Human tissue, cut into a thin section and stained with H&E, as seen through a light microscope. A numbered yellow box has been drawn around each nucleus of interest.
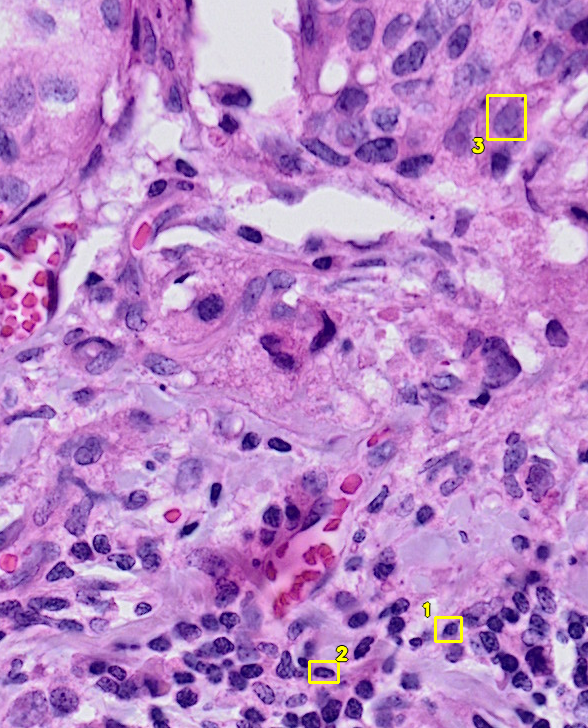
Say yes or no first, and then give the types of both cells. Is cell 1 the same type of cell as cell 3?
No, cell 1 is a lymphocyte, whereas cell 3, for its part, is a carcinoma cell.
